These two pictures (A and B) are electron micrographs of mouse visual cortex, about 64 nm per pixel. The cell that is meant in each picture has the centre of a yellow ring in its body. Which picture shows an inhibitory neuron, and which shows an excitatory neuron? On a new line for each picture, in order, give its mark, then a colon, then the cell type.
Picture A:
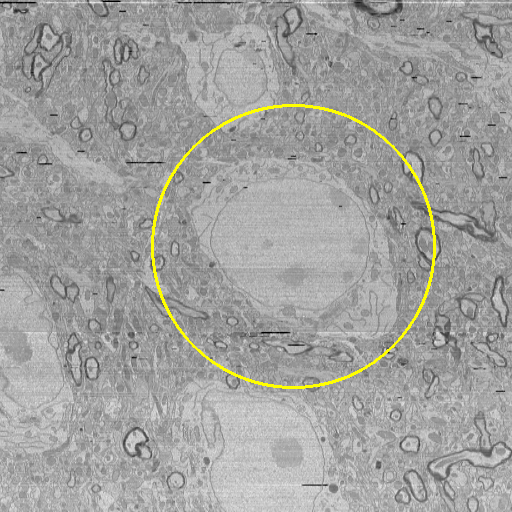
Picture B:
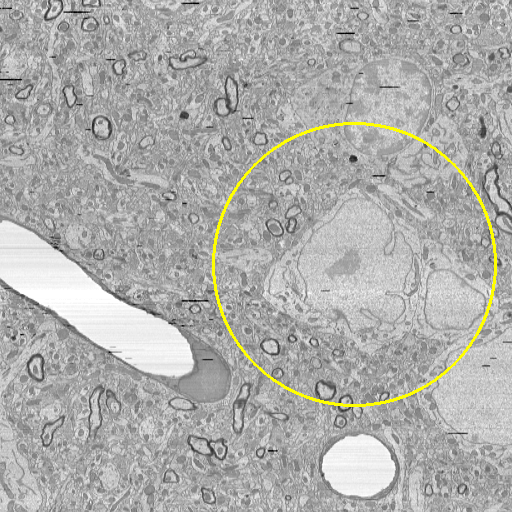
A: excitatory neuron
B: inhibitory neuron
